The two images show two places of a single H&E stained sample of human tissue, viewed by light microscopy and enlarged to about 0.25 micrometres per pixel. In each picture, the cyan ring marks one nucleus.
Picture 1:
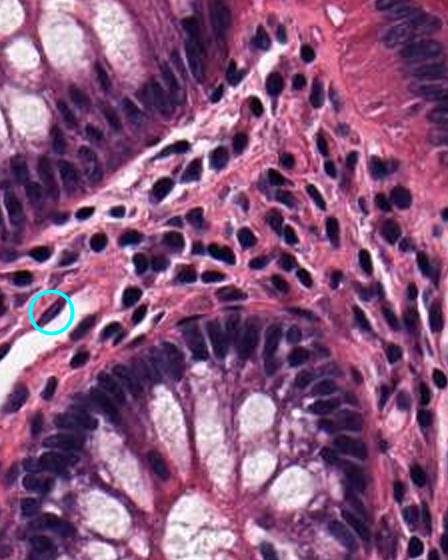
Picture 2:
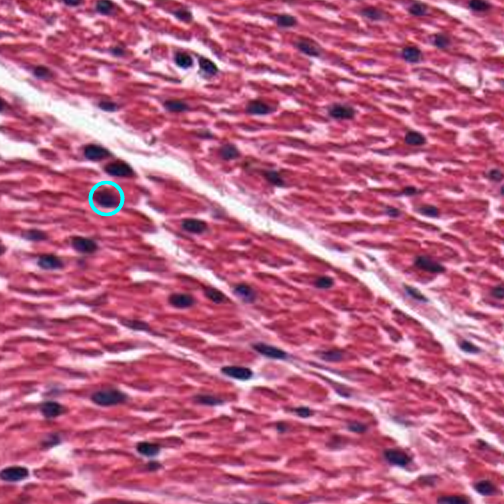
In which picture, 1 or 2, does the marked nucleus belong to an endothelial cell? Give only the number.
1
